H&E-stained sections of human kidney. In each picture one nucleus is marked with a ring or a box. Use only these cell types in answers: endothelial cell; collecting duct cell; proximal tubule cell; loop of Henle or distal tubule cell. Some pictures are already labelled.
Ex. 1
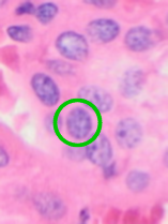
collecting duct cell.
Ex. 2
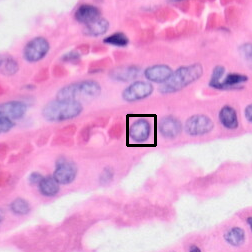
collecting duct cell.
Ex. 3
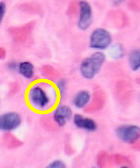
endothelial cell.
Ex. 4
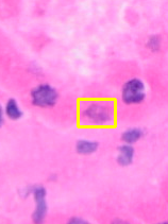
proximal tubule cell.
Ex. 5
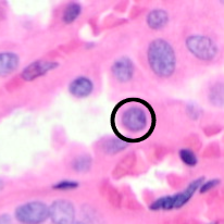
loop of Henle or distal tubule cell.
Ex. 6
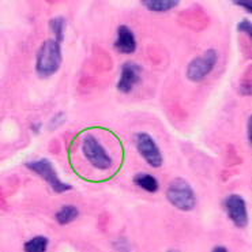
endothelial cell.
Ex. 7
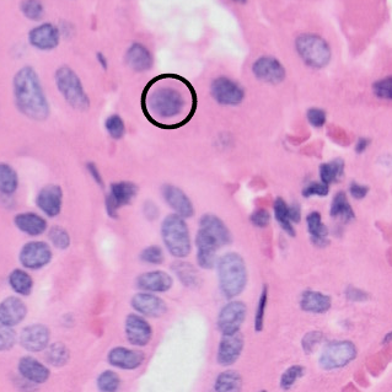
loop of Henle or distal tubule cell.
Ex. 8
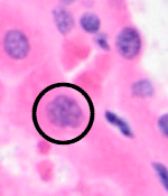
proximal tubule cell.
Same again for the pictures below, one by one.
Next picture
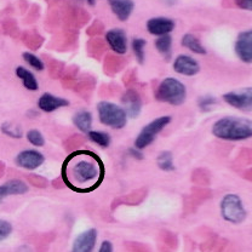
endothelial cell.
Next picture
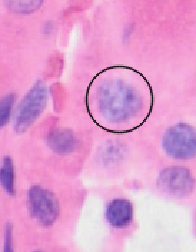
loop of Henle or distal tubule cell.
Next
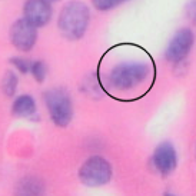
collecting duct cell.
